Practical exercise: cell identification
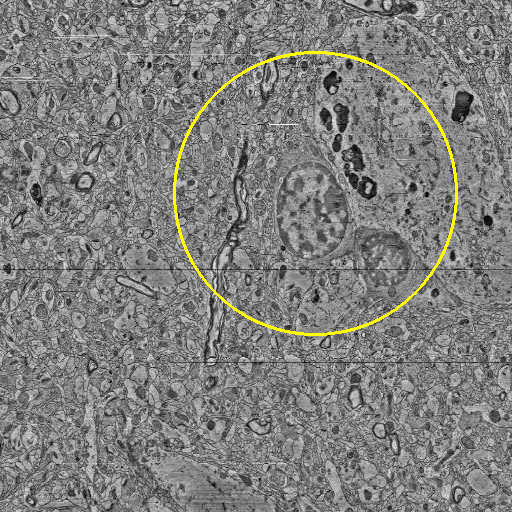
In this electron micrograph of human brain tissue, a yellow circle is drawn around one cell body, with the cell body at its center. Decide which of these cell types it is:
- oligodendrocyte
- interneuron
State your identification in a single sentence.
The ringed cell is an oligodendrocyte.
